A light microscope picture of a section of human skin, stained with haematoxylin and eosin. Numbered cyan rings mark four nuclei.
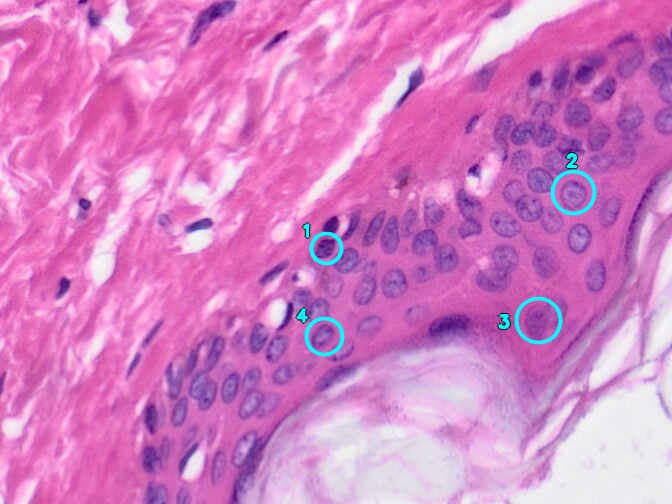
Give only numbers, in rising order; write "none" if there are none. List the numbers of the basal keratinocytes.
1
